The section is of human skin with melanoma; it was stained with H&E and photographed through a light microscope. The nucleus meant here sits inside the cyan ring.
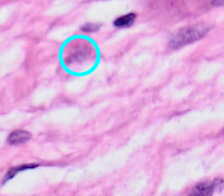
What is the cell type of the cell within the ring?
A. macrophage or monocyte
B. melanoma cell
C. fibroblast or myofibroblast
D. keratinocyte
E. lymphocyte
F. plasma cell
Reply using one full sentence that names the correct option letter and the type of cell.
Of all the options, C is right, since the cell within the ring is a fibroblast or myofibroblast.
